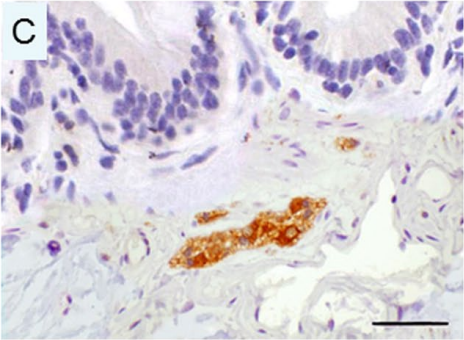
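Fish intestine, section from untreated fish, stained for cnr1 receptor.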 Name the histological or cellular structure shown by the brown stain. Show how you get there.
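A compact cluster of cells with granular cytoplasm is stained deep brown. It lies in loose connective tissue beneath the epithelium. The surrounding epithelium and connective tissue are only faintly stained.
Answer: parietal ganglia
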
